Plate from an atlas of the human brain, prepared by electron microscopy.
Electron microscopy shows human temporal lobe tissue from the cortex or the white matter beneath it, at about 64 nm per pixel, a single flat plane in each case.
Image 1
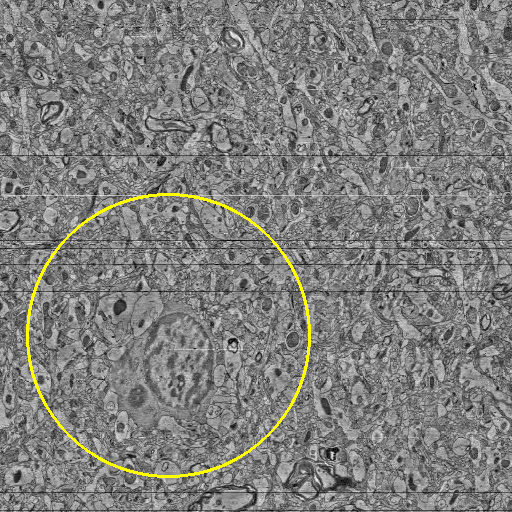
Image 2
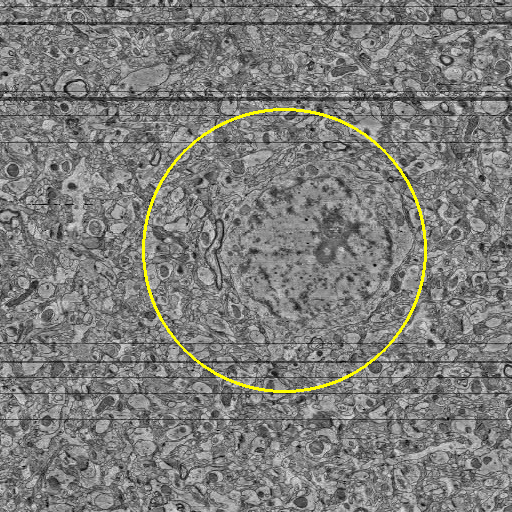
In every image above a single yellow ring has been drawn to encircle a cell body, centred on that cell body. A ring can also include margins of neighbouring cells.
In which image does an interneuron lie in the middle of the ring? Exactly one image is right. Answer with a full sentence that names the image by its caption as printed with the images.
Image 2 holds the requested cell at the very centre of its ring.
